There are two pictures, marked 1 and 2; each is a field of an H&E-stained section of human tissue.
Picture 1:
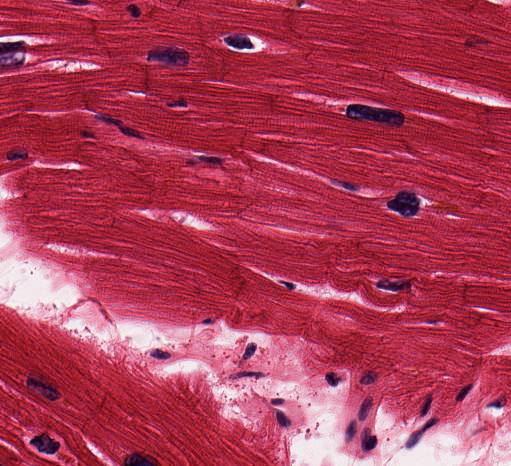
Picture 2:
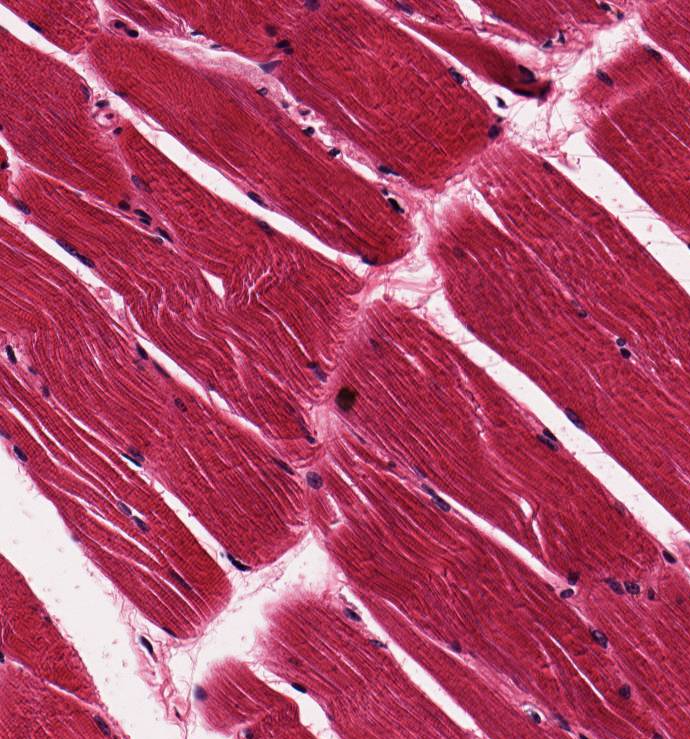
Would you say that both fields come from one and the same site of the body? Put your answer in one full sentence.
No. Picture 1 comes from the left ventricle of the heart, whereas picture 2 comes from skeletal muscle.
